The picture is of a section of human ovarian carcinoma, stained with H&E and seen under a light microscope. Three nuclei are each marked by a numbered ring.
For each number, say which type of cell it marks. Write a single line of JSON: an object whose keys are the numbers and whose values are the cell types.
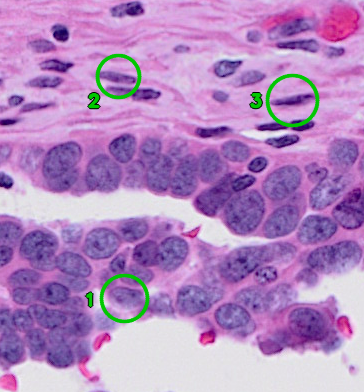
{"1": "carcinoma cell", "2": "fibroblast", "3": "fibroblast"}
